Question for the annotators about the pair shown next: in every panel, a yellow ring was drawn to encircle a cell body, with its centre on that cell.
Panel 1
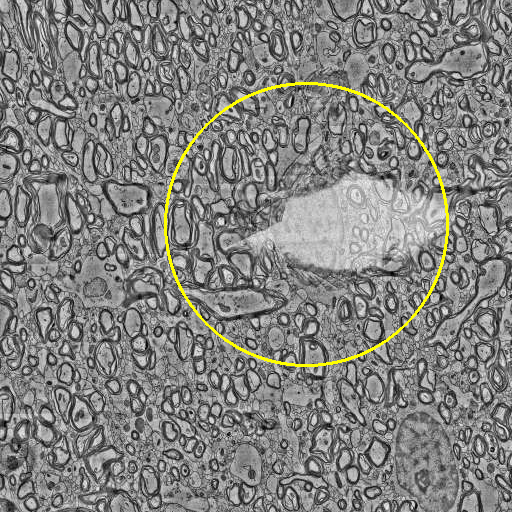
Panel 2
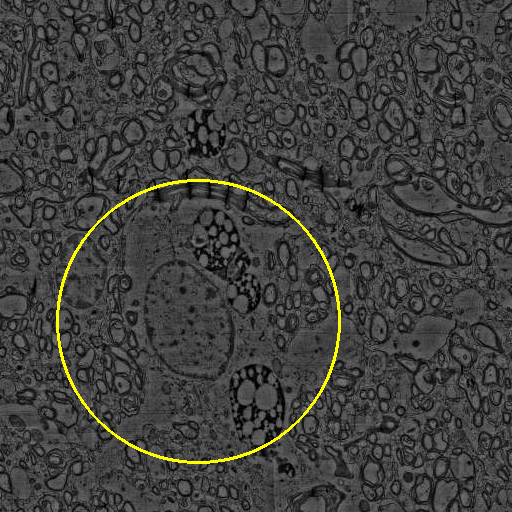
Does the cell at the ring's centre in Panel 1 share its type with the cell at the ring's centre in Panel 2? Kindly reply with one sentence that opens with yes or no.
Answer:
No, in Panels 1 and 2 the cells at the ring centres belong to separate types.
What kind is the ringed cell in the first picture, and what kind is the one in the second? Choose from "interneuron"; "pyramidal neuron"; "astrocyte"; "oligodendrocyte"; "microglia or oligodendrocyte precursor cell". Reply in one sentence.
The first cell is an oligodendrocyte; the second is an astrocyte.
